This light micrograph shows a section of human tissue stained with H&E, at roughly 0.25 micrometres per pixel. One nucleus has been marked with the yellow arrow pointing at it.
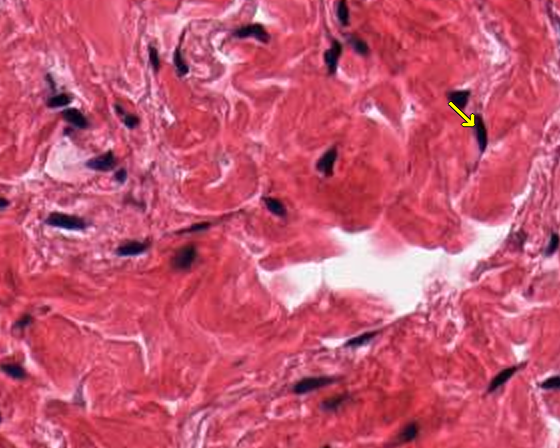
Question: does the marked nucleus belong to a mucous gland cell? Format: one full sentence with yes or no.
No, the marked nucleus is not borne by a mucous gland cell; it is borne by a supporting cell.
